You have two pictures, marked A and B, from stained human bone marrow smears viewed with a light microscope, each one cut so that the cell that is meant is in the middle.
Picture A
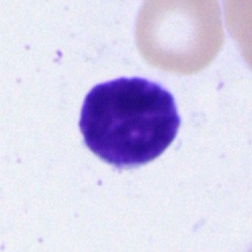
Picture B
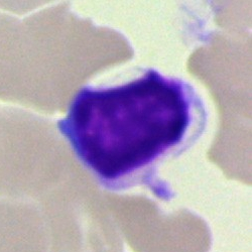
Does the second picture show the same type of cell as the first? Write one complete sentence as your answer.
Yes; the cells in both pictures are lymphocytes.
